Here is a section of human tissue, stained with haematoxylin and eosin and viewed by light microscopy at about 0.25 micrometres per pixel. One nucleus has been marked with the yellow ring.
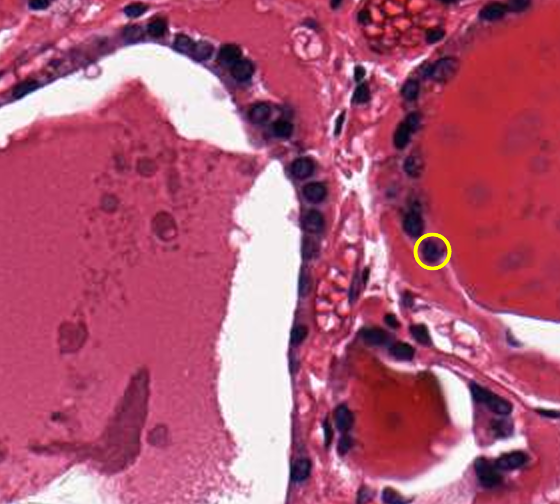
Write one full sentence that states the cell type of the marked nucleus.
The mark indicates the nucleus of a thyroid follicular cell.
